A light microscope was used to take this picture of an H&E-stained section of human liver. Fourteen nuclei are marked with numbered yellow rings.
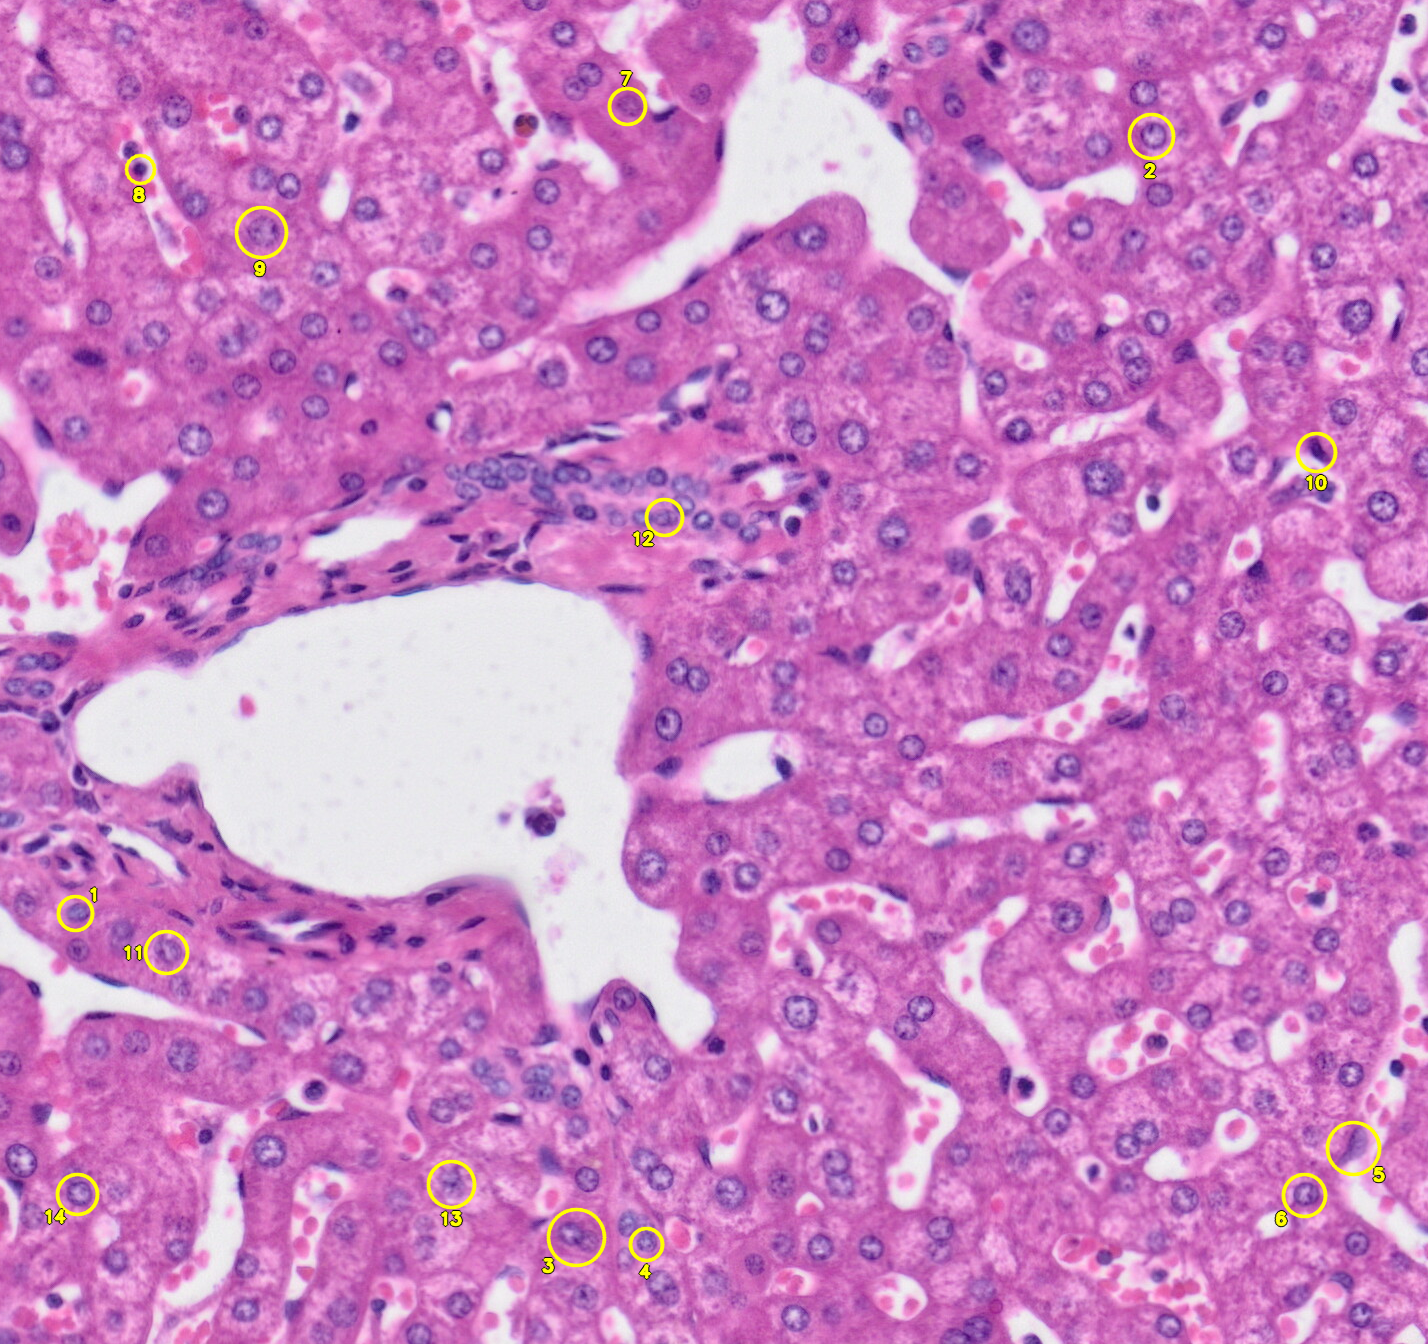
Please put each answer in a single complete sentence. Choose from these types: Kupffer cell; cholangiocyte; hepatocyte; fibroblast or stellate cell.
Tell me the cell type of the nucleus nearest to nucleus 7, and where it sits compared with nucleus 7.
Lying to the right of nucleus 7, the nearest nucleus is that of a fibroblast or stellate cell.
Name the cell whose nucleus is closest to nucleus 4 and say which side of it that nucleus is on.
The nearest one is a cholangiocyte, found above nucleus 4.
